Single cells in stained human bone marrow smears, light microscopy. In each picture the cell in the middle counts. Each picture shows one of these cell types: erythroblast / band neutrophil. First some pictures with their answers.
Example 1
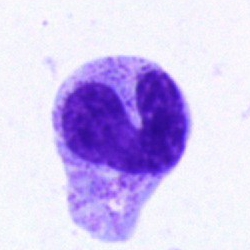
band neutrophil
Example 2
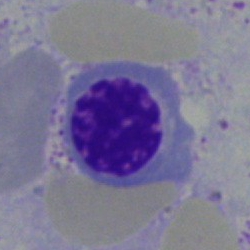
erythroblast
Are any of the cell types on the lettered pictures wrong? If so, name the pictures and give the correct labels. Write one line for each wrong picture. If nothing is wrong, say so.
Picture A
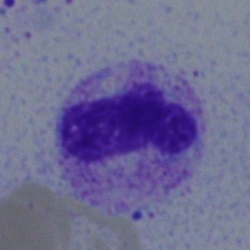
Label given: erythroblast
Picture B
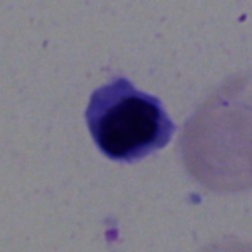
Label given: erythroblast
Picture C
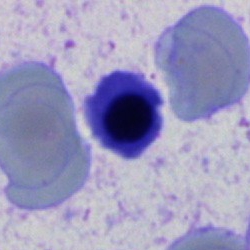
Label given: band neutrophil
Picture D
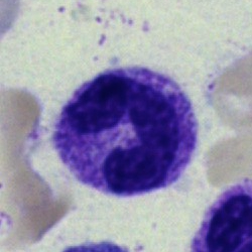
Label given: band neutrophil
A: change erythroblast to band neutrophil
C: change band neutrophil to erythroblast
